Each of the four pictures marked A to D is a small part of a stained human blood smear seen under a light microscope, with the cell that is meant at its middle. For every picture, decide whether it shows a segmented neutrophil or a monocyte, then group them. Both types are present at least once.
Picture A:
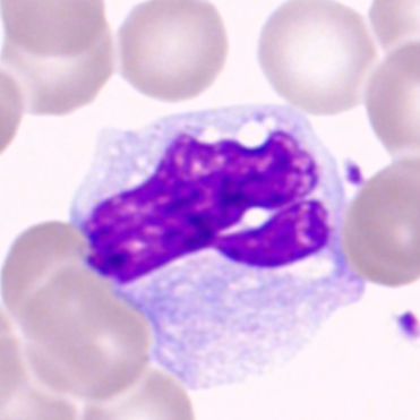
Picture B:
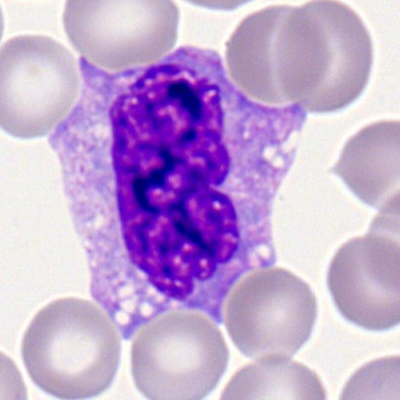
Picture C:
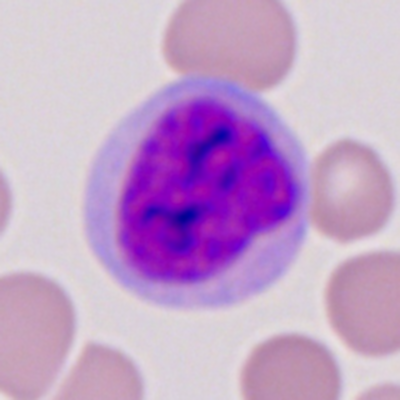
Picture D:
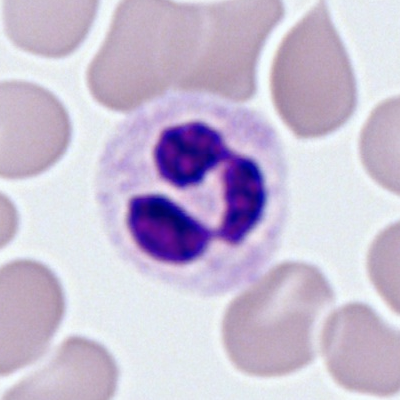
A: monocyte
B: monocyte
C: monocyte
D: segmented neutrophil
